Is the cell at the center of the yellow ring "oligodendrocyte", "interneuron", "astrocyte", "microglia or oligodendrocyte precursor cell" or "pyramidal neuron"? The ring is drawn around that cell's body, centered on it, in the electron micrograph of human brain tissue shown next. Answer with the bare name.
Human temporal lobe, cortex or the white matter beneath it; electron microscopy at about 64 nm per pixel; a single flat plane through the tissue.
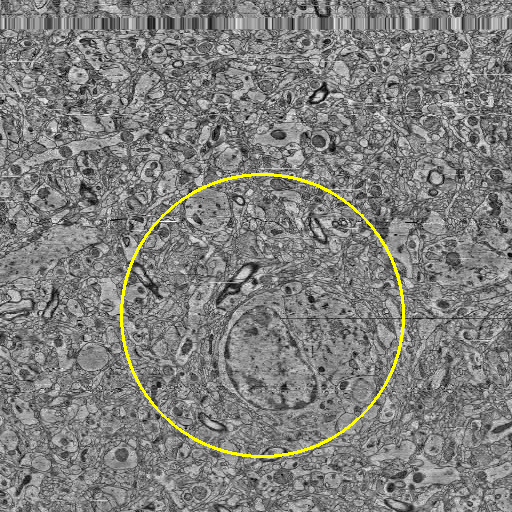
microglia or oligodendrocyte precursor cell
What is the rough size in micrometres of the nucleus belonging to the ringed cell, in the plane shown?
In this plane, the nucleus of the cell at the centre of the ring measures about 7 by 5 micrometres.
